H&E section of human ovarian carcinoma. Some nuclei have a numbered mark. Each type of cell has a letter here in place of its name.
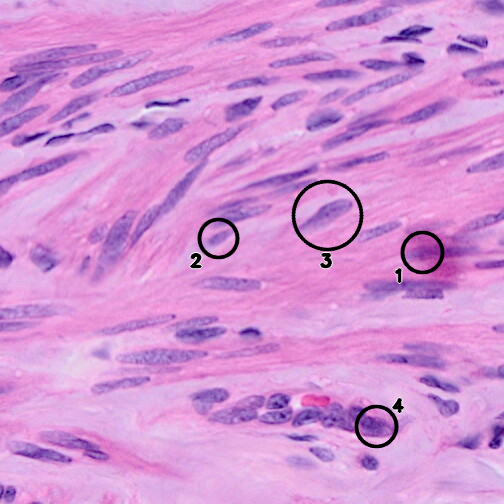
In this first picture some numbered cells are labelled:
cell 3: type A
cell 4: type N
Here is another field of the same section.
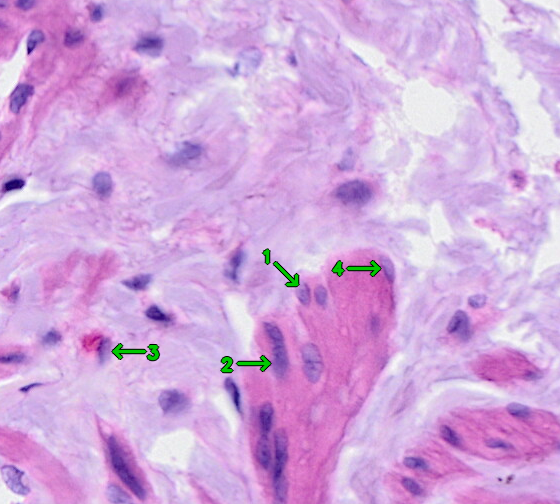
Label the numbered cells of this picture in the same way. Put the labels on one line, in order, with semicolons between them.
type A; type A; type N; type A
